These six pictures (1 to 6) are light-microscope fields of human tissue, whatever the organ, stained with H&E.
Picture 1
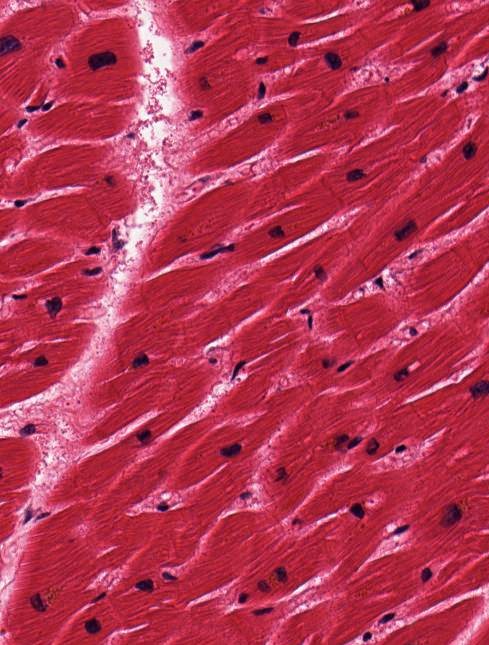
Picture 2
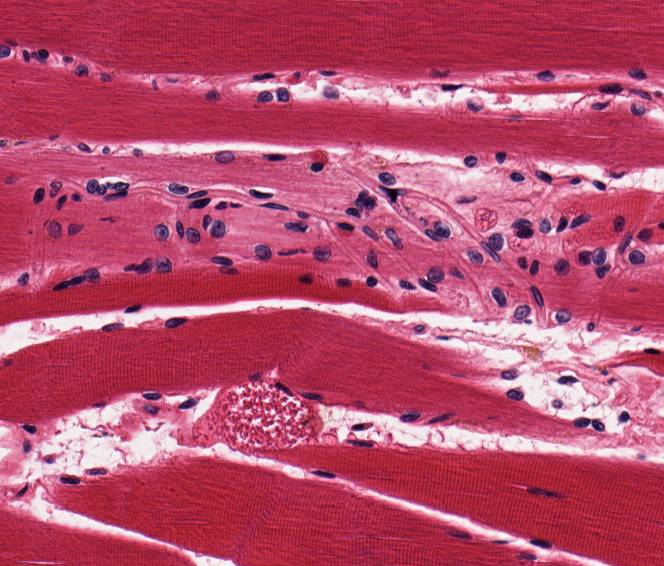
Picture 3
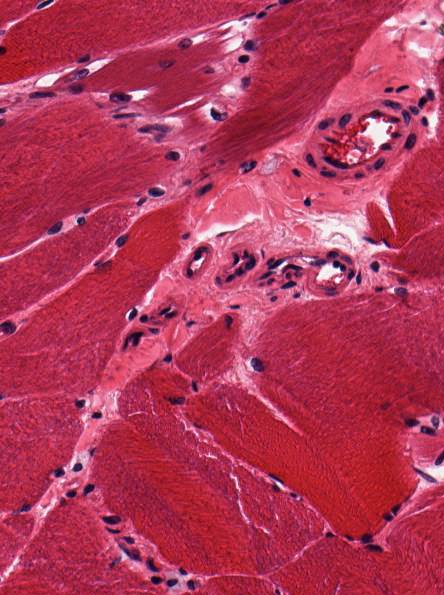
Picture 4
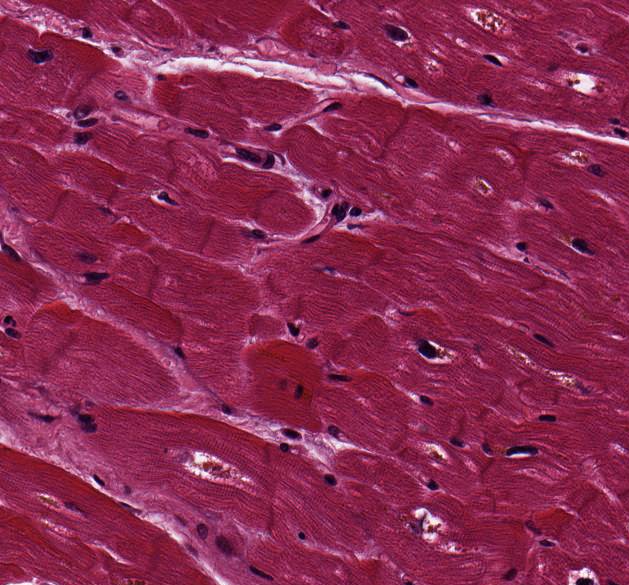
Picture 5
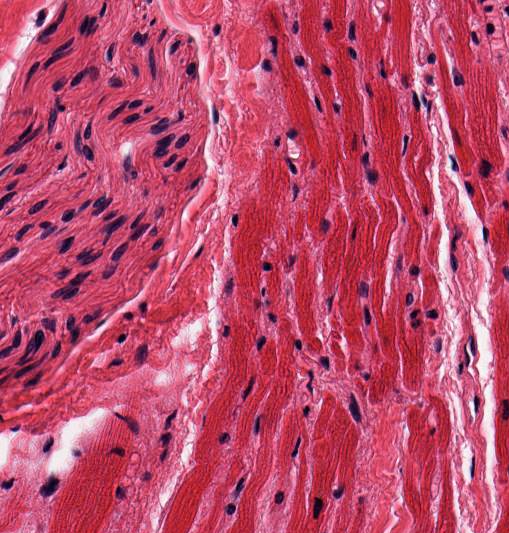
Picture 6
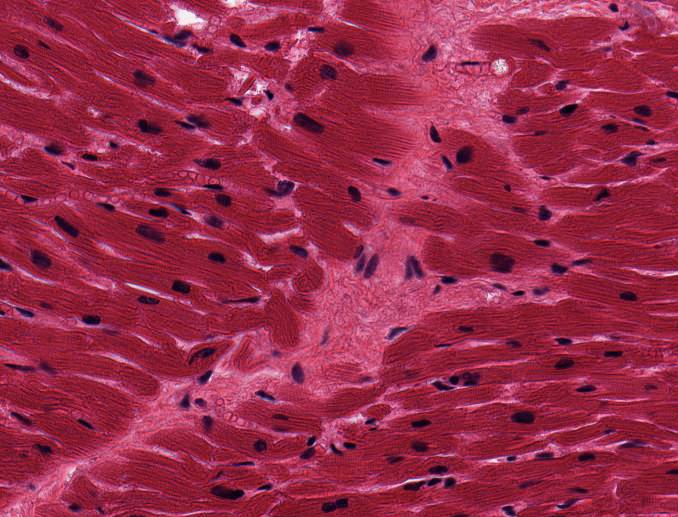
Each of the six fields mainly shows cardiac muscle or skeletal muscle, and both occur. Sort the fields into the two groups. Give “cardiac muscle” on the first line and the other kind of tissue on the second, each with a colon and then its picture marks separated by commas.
cardiac muscle: 1, 4, 5, 6
skeletal muscle: 2, 3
